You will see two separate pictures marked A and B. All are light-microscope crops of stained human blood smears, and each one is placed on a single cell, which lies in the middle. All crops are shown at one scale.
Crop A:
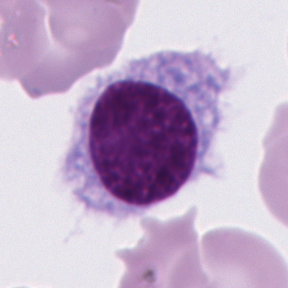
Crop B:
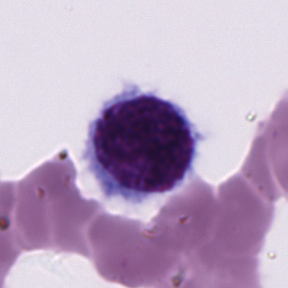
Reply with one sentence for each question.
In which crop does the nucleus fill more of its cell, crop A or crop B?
Of the two, the nucleus in crop B makes up the greater part of its cell.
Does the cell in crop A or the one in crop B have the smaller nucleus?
The nucleus in crop B is smaller; the one in crop A has about 1.5 times its area.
